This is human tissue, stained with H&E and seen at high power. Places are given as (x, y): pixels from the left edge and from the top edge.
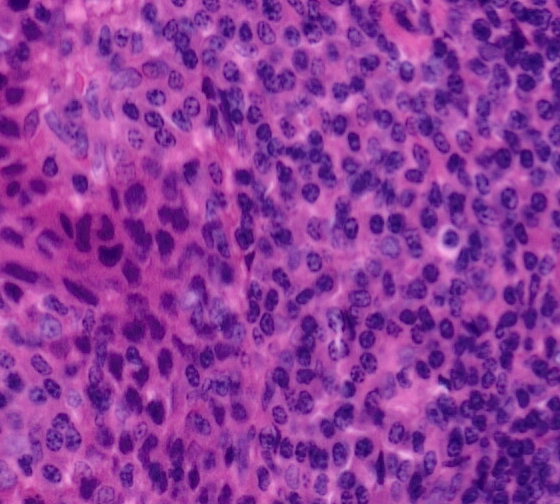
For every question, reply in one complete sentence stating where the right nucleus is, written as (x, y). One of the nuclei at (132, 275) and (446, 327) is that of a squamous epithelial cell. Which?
It is the nucleus at (132, 275), not the other one, that belongs to a squamous epithelial cell.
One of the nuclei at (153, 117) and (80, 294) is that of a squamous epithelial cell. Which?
Of the two nuclei, the nucleus of a squamous epithelial cell is at (80, 294).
